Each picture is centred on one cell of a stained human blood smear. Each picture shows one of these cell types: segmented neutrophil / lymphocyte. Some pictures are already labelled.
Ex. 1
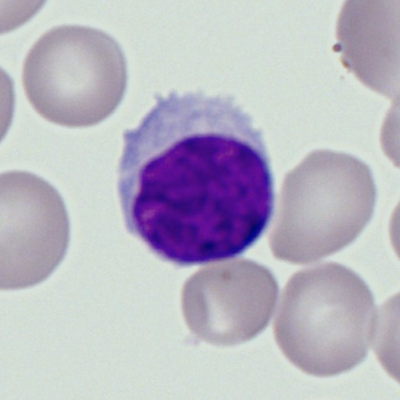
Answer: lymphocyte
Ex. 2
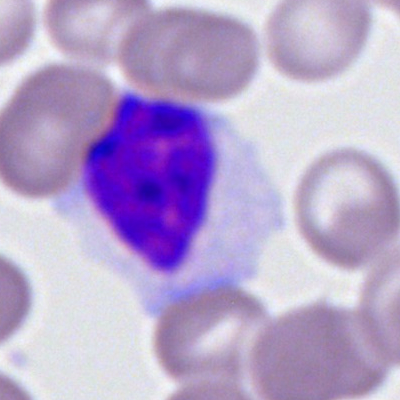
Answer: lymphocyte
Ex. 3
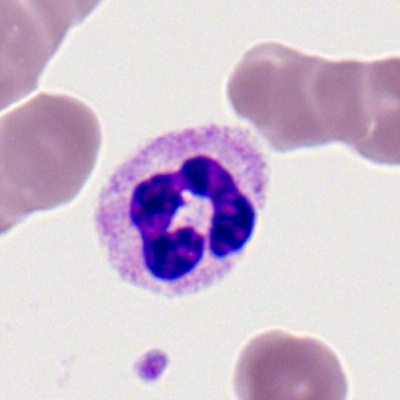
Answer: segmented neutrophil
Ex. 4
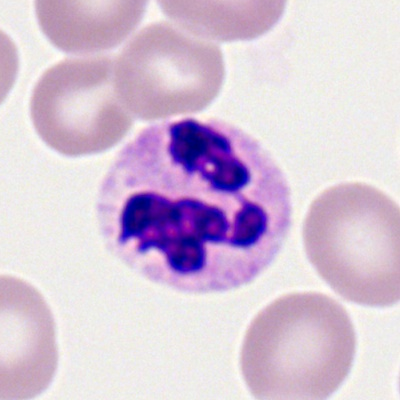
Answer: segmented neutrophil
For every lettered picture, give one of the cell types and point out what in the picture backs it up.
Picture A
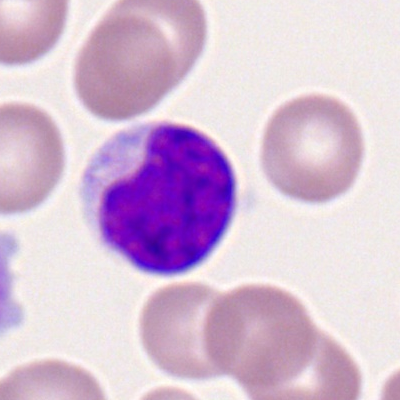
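Label: lymphocyte. The nucleus fills most of the cell.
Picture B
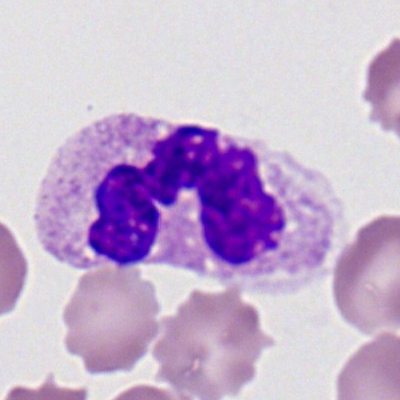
Label: segmented neutrophil. The nucleus is split into connected lobes arranged in an arch that opens downward.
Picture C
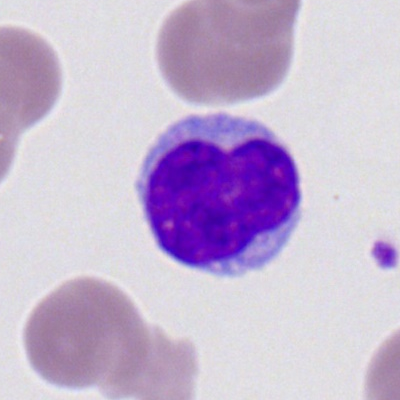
Label: lymphocyte. The nucleus fills most of the cell.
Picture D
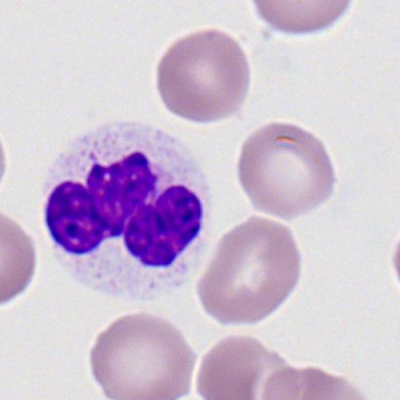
Label: segmented neutrophil. There is plenty of pale pinkish-lilac cytoplasm around the nucleus.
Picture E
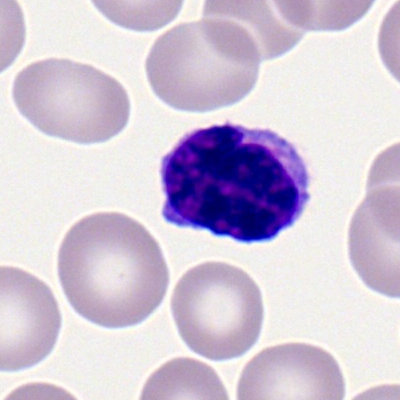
Label: lymphocyte. The cytoplasm is scant, forming a thin crescent mainly on the right side of the nucleus.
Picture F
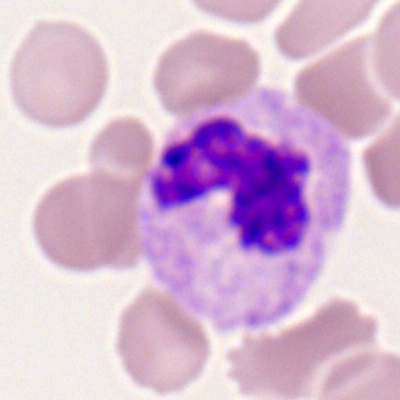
Label: segmented neutrophil. The cytoplasm is abundant and pale pinkish-lilac.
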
